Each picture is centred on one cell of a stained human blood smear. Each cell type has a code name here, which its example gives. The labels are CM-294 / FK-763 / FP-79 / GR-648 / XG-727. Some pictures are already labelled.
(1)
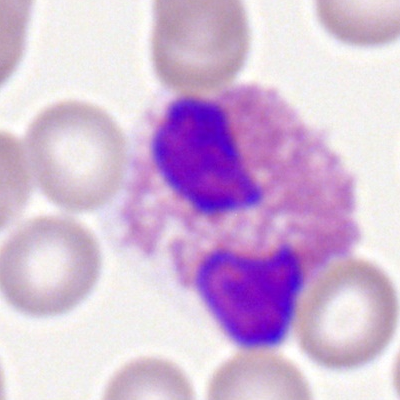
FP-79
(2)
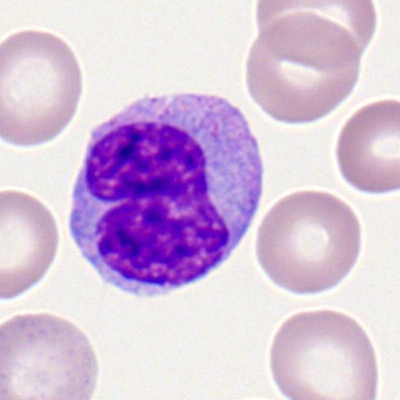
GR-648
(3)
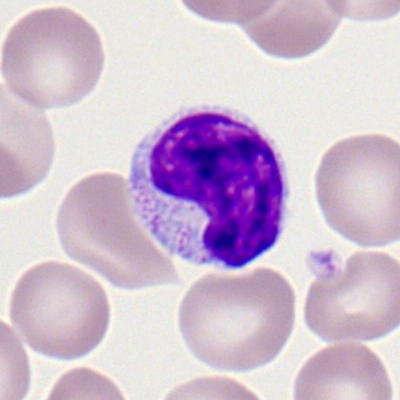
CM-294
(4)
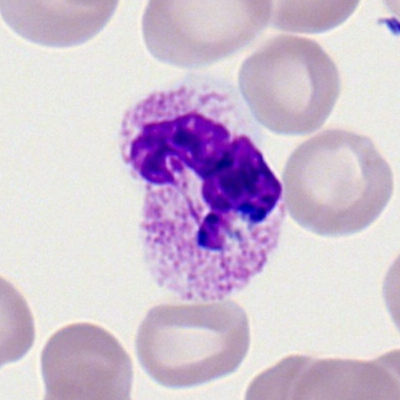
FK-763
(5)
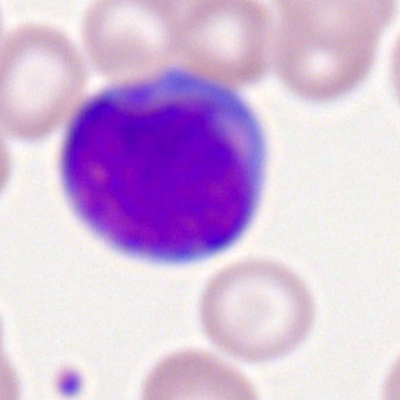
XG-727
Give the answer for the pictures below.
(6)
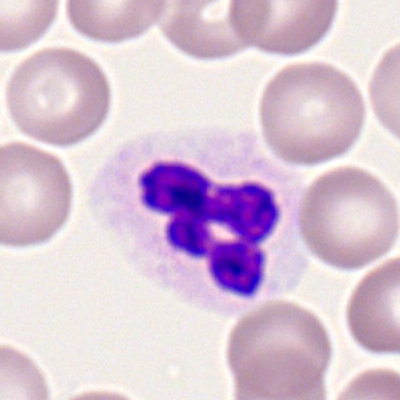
FK-763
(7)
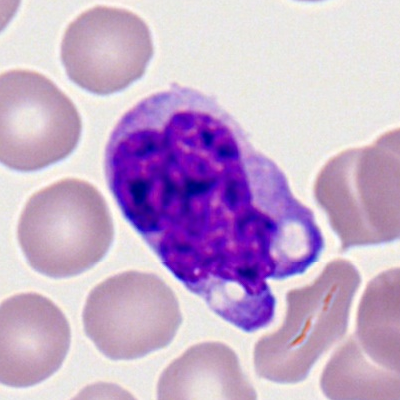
GR-648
